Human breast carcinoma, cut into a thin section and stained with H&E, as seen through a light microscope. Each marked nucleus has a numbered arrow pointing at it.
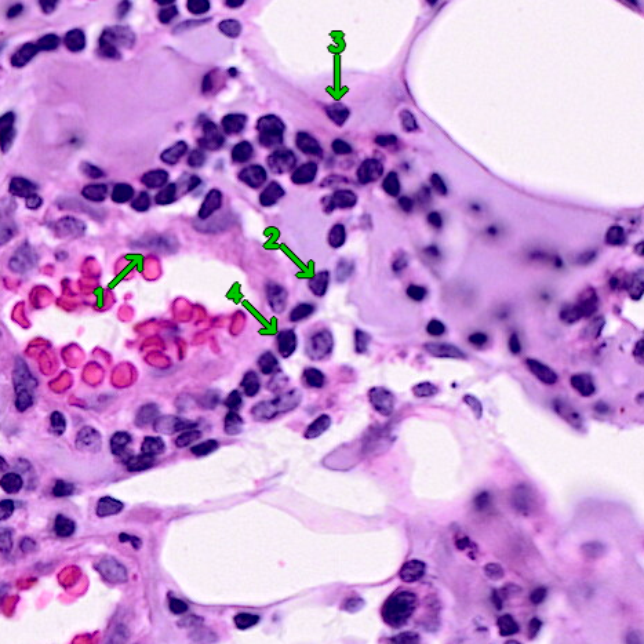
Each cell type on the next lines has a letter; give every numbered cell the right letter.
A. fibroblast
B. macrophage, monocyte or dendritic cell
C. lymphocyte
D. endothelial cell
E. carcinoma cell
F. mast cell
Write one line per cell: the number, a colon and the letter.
1: D
2: C
3: C
4: C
